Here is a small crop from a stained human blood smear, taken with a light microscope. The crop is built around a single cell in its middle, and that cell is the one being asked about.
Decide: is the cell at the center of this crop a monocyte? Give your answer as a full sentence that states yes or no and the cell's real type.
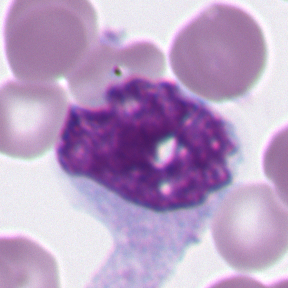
Yes, the cell lying in the centre of the crop is identified as a monocyte.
